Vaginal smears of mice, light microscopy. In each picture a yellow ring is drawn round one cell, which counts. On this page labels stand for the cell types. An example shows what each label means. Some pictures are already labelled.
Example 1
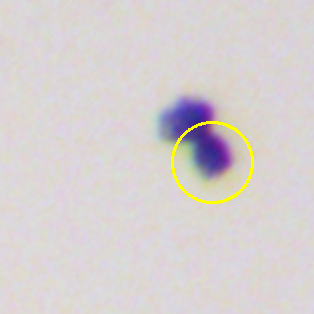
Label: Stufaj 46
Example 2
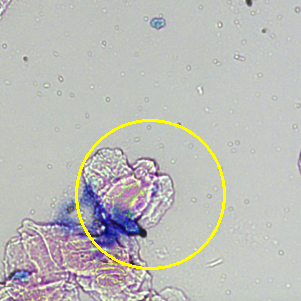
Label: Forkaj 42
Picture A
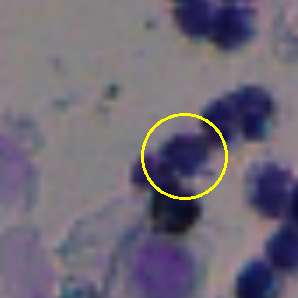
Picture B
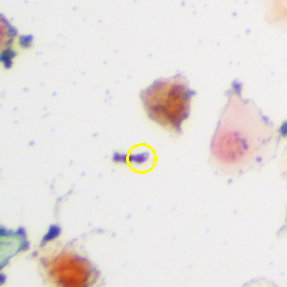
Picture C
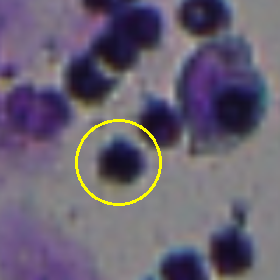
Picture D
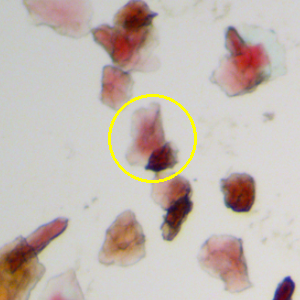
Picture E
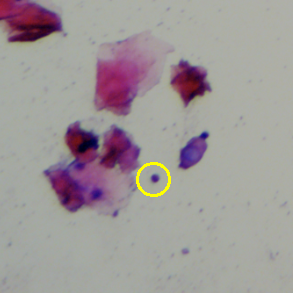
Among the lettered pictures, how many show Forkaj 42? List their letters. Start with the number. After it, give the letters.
1: D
